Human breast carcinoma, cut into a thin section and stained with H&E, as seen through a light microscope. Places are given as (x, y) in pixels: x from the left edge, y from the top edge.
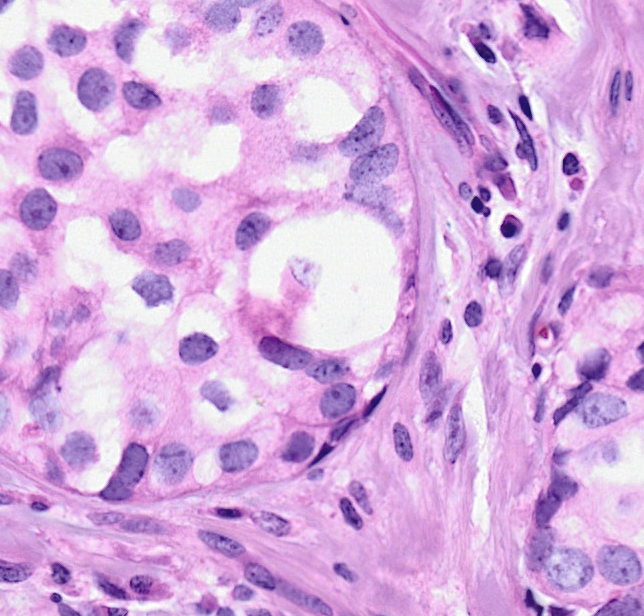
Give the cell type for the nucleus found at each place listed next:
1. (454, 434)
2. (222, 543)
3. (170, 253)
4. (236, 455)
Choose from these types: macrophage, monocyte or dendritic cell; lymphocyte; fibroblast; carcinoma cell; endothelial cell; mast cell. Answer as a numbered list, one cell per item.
1. fibroblast
2. endothelial cell
3. carcinoma cell
4. carcinoma cell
